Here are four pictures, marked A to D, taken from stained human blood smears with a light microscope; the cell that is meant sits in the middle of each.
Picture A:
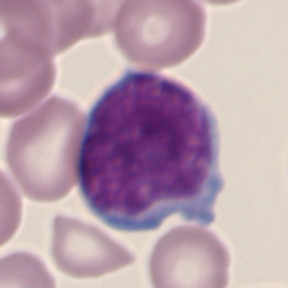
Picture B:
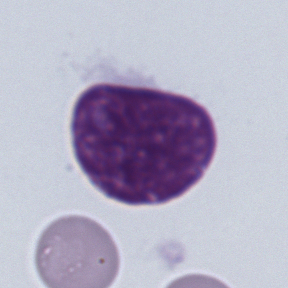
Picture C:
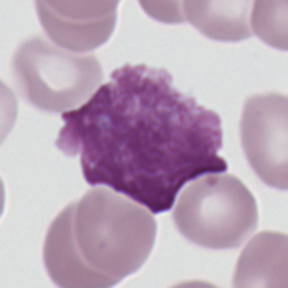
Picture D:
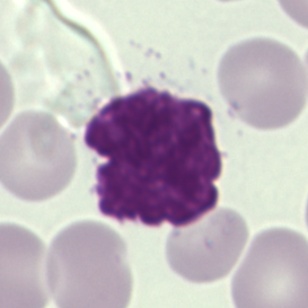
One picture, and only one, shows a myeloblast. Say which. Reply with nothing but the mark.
A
